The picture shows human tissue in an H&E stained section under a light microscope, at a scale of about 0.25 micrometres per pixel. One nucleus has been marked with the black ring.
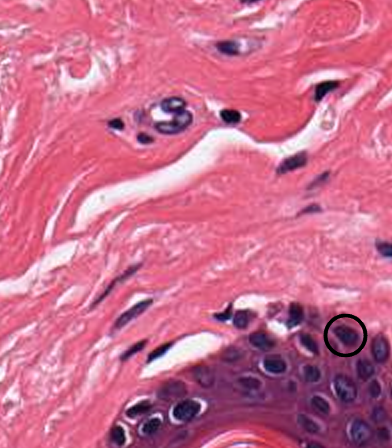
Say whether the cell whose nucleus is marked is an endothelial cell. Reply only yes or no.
no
